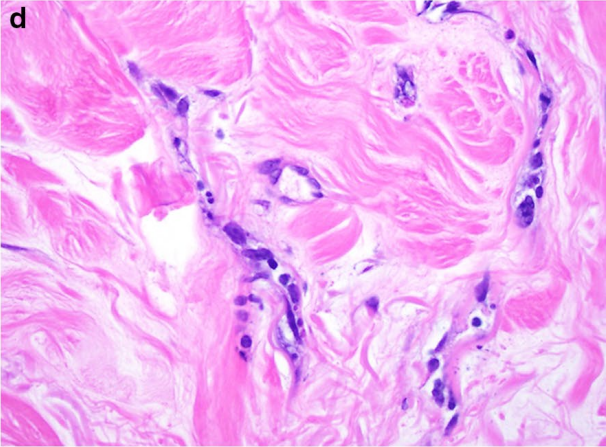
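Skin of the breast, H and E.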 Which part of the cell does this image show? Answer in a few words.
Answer: Hyperchromatic ovoid to spindle nuclei.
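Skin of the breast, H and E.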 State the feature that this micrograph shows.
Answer: Small, compressed slightly angulated vessels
